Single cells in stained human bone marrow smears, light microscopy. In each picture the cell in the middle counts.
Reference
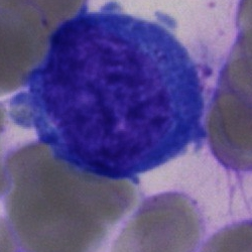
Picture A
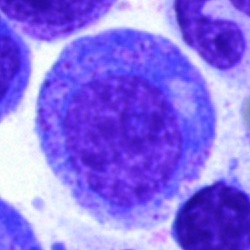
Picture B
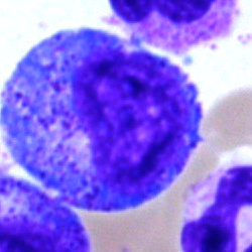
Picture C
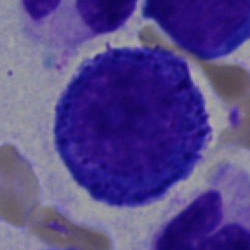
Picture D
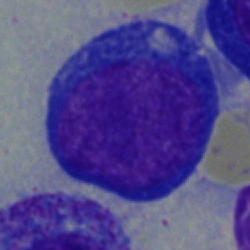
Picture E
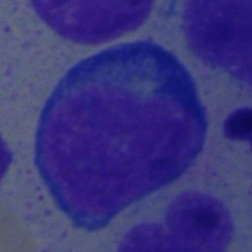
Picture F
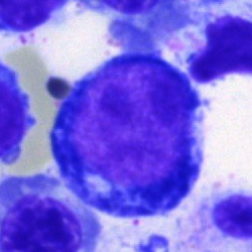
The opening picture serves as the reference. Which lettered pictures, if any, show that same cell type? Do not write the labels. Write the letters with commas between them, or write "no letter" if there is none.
C, D, E, F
